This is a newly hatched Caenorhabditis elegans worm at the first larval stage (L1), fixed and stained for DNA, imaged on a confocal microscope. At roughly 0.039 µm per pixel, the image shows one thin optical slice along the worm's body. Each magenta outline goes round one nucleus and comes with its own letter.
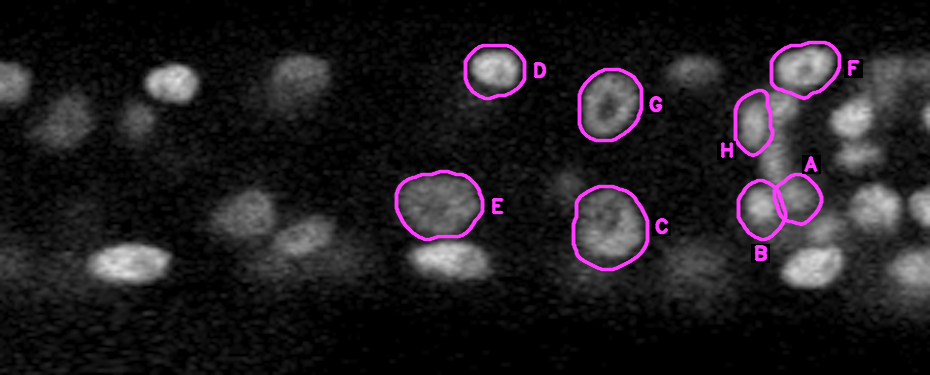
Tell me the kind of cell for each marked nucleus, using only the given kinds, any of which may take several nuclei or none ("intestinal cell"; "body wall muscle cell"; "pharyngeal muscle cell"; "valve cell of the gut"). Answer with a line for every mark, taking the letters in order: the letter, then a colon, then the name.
A: pharyngeal muscle cell
B: valve cell of the gut
C: intestinal cell
D: body wall muscle cell
E: intestinal cell
F: body wall muscle cell
G: intestinal cell
H: valve cell of the gut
